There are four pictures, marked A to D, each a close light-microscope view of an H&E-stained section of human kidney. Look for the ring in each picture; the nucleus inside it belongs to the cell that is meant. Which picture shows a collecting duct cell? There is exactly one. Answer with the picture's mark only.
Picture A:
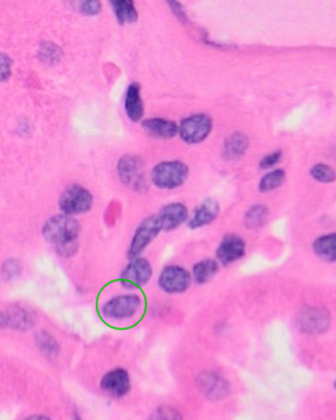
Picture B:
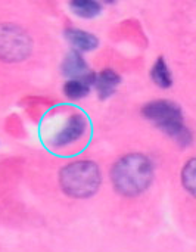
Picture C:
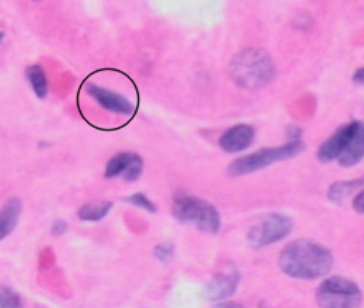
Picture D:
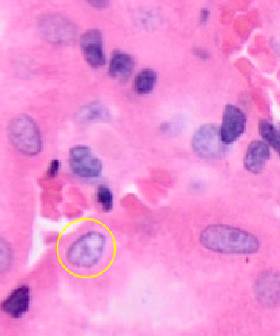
A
